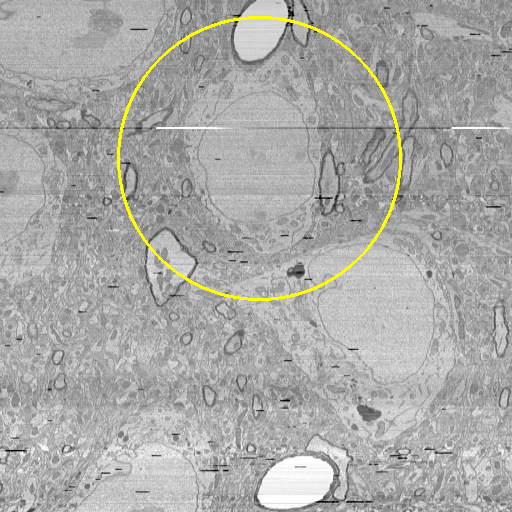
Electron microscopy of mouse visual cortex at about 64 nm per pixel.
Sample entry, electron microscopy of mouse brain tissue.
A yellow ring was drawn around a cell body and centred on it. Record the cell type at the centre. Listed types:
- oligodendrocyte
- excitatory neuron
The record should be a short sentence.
The cell at the ring's centre is an excitatory neuron.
